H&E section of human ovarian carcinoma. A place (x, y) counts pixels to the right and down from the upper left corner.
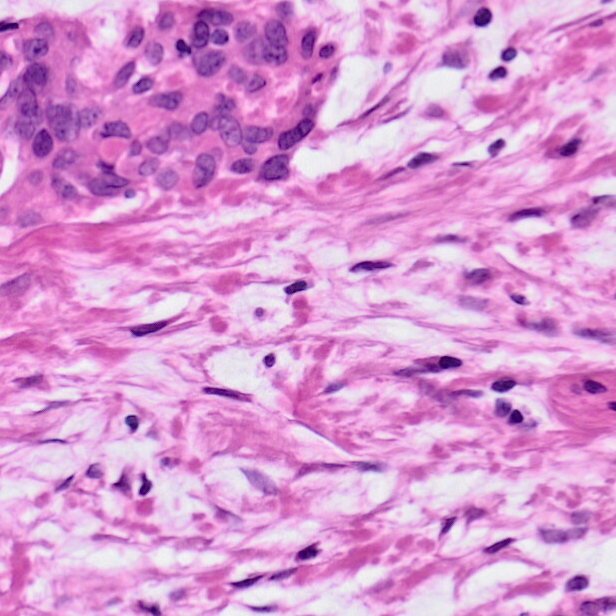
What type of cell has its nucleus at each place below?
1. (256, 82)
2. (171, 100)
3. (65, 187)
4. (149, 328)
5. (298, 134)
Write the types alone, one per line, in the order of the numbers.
macrophage or monocyte
carcinoma cell
carcinoma cell
fibroblast
carcinoma cell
